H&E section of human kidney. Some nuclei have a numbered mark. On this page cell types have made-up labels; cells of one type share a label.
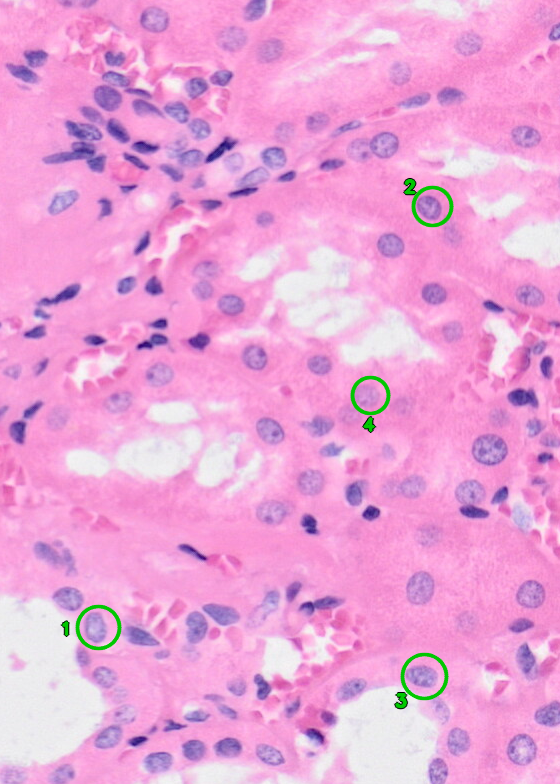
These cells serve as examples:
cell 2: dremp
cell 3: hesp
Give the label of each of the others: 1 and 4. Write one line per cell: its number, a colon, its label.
1: hesp
4: dremp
